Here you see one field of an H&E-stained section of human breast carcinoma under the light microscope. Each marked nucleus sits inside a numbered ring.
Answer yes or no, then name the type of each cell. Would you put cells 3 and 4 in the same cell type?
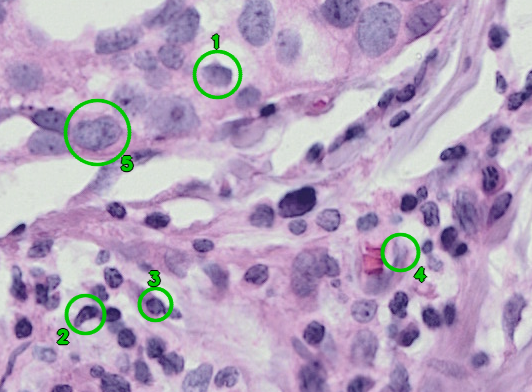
No, the cell bearing number 3 is a lymphocyte, while the one bearing number 4 is an endothelial cell.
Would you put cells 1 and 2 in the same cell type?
No; whereas cell 1 is a carcinoma cell, cell 2 is a lymphocyte.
